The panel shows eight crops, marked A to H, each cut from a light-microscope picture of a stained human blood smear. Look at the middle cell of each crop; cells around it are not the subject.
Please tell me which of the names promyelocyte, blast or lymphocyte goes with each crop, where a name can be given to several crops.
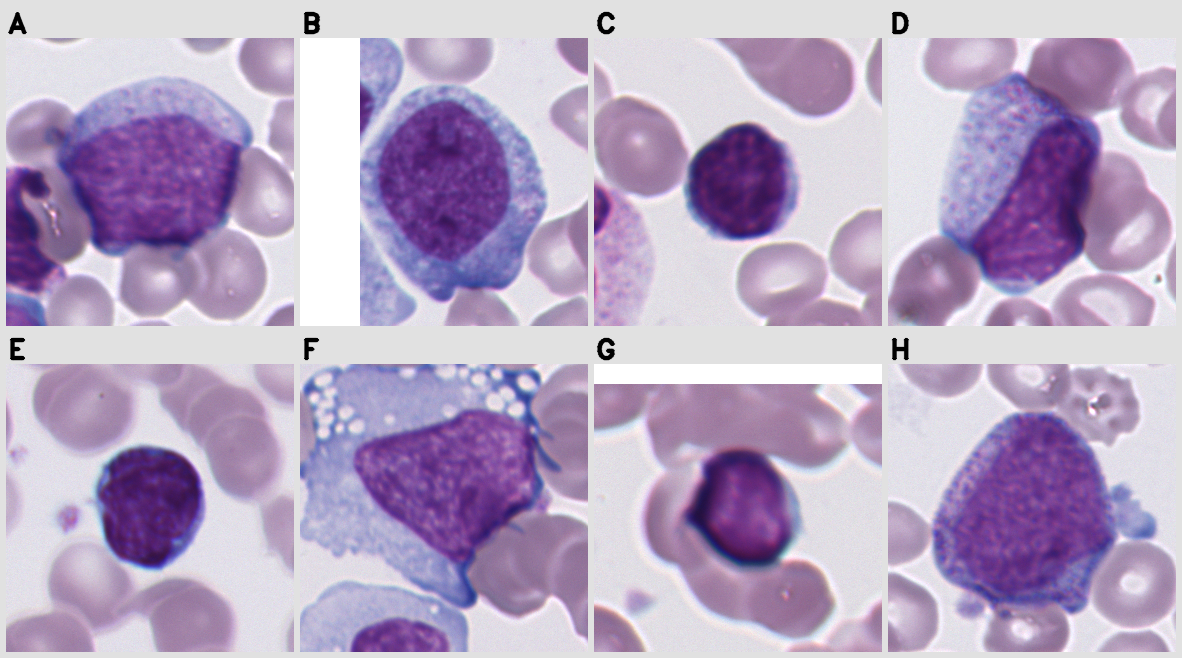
A: promyelocyte
B: promyelocyte
C: lymphocyte
D: promyelocyte
E: lymphocyte
F: blast
G: lymphocyte
H: promyelocyte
